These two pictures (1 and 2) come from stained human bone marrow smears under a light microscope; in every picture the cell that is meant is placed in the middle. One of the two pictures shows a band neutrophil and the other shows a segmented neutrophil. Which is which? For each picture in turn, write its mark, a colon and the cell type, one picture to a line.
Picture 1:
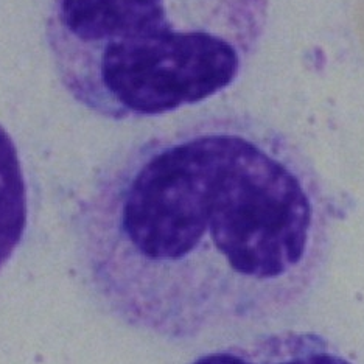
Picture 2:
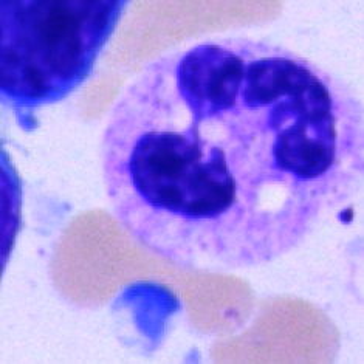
1: band neutrophil
2: segmented neutrophil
